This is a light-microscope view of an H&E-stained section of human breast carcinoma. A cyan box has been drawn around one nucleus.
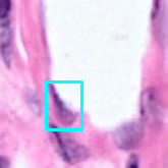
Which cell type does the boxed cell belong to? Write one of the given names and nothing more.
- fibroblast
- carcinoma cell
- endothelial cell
endothelial cell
